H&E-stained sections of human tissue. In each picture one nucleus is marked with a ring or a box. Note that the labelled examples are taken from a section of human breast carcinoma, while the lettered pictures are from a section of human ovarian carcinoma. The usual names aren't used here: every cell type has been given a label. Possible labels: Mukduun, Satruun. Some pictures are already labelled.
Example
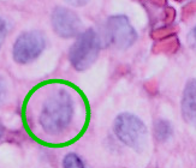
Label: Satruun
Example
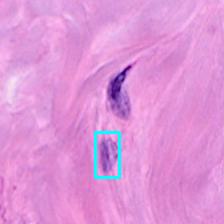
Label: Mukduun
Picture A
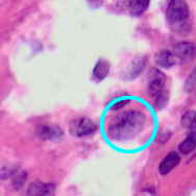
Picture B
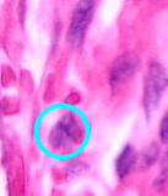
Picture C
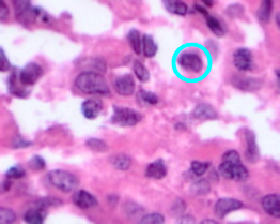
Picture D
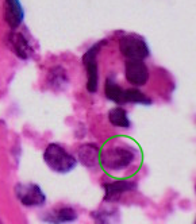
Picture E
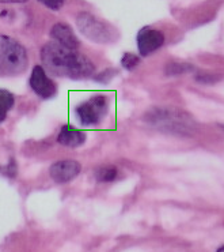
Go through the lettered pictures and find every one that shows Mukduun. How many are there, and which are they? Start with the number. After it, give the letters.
1, namely B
